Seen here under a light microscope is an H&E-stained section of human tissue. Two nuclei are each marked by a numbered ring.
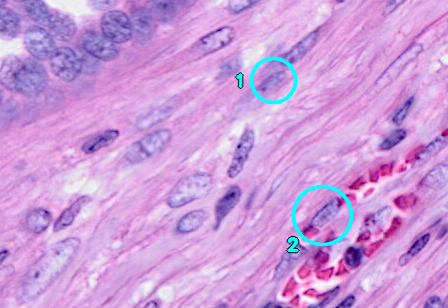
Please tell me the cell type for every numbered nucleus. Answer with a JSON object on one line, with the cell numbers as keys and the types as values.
{"1": "fibroblast", "2": "endothelial cell"}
